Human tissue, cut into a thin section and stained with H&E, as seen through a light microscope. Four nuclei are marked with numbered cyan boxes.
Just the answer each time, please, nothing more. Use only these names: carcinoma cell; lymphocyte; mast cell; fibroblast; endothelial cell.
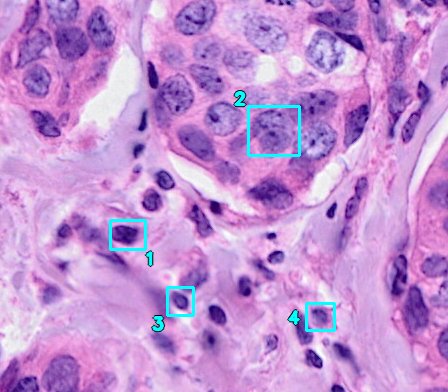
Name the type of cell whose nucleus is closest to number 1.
fibroblast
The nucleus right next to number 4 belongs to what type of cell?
lymphocyte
